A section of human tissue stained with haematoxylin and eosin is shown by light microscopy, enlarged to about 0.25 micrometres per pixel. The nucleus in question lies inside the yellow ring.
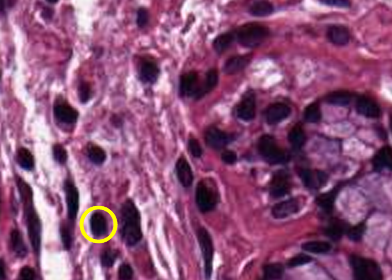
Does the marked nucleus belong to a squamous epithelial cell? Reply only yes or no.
no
